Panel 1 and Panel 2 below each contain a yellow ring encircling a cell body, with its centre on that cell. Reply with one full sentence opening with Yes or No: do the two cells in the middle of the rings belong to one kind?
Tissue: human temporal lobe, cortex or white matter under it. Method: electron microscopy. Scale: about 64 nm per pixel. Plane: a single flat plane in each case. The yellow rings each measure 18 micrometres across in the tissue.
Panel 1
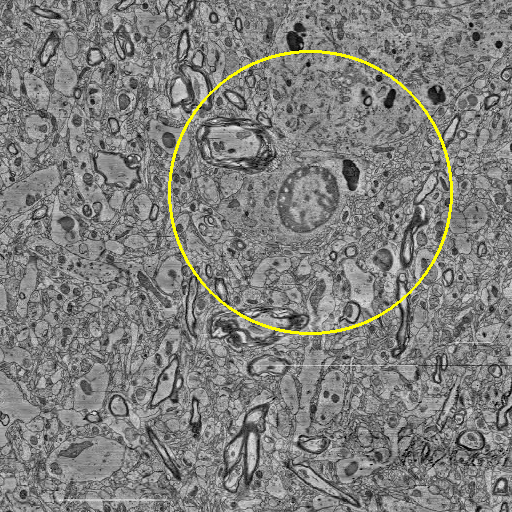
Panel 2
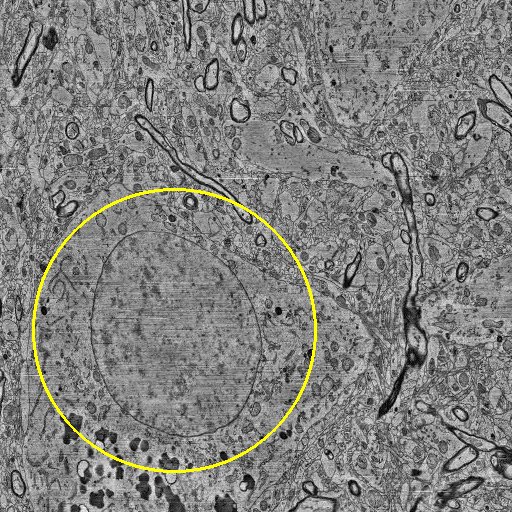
No, the cells at the middle of the Panel 1 ring and the Panel 2 ring are of two kinds.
